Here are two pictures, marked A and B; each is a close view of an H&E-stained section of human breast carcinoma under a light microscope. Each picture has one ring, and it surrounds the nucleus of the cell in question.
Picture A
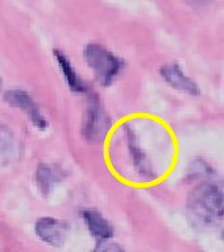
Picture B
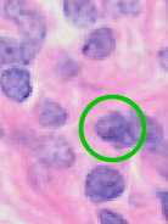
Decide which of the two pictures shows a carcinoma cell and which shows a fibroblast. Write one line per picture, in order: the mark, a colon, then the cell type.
A: fibroblast
B: carcinoma cell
